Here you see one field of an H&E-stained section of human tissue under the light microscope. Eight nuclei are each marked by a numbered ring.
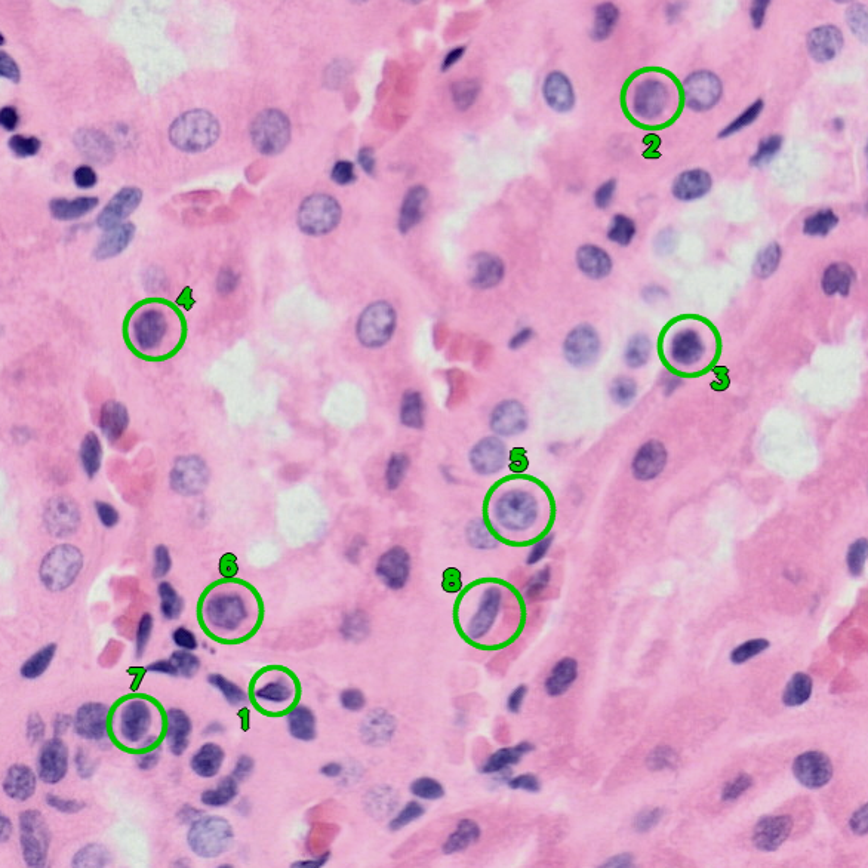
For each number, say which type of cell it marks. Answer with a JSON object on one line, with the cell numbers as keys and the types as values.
{"1": "endothelial cell", "2": "proximal tubule cell", "3": "loop of Henle or distal tubule cell", "4": "proximal tubule cell", "5": "loop of Henle or distal tubule cell", "6": "proximal tubule cell", "7": "collecting duct cell", "8": "endothelial cell"}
